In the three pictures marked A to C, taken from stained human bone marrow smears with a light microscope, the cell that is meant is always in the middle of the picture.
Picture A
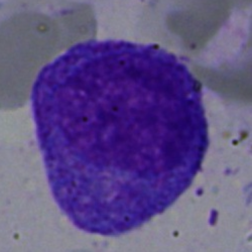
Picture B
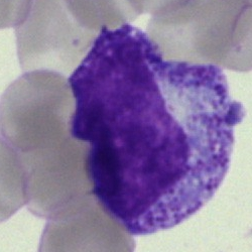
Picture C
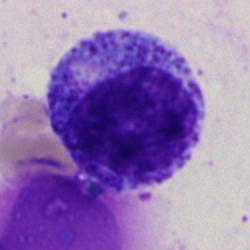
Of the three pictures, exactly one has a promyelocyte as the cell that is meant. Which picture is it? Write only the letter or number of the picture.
A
